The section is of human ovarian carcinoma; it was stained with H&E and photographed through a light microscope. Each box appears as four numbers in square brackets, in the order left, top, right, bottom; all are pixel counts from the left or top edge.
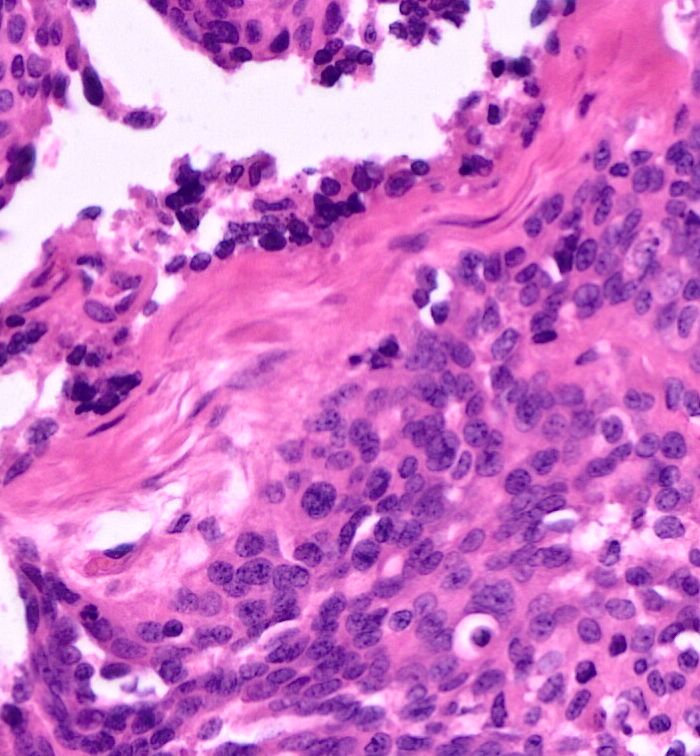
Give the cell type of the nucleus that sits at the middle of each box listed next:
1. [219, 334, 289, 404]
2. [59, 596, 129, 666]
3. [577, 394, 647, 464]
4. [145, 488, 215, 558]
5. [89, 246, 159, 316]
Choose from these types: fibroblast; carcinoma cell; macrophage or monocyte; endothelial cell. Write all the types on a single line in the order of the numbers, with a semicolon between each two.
fibroblast; carcinoma cell; macrophage or monocyte; fibroblast; endothelial cell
